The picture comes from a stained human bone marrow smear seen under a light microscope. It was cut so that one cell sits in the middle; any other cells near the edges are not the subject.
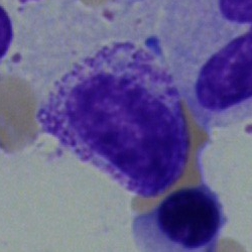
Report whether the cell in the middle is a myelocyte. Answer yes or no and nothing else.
yes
